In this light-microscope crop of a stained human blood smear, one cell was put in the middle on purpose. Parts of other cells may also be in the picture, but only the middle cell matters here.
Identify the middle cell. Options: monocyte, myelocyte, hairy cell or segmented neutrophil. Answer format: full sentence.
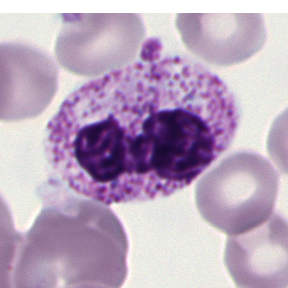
The cell centred in this crop is categorized as a segmented neutrophil.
